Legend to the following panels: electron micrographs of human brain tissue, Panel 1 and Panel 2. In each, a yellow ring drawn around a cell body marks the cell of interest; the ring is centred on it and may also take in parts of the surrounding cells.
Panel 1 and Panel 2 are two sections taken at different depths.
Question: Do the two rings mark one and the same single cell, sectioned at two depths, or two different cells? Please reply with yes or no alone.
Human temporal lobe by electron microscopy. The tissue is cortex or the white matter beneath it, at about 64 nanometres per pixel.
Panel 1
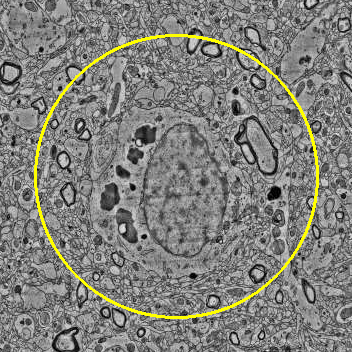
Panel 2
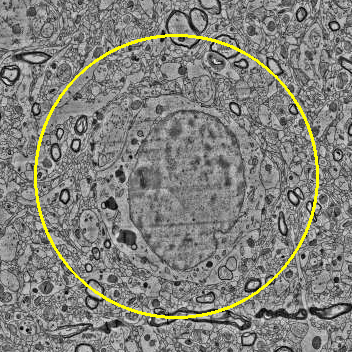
yes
